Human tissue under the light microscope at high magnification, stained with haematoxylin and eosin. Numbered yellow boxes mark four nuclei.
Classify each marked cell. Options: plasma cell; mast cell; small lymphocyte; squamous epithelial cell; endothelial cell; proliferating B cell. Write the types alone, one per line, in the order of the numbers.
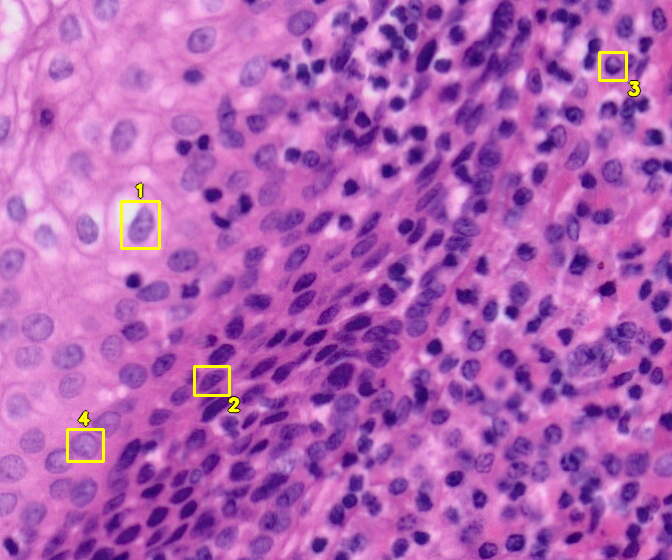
squamous epithelial cell
squamous epithelial cell
plasma cell
squamous epithelial cell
